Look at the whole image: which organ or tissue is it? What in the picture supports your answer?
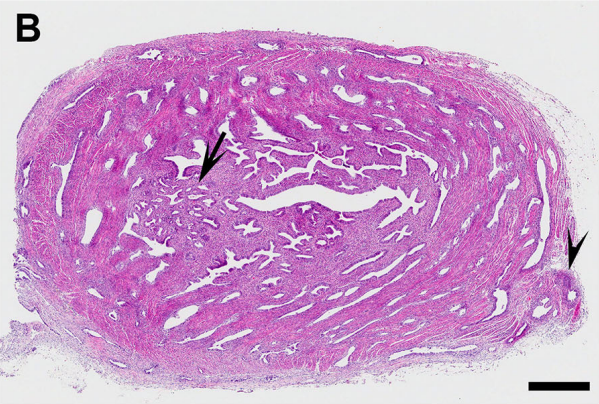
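An oval organ cross-section with a thick wall of pink muscle bundles. Many irregular glandular lumina scattered through the wall and centre.
Conclusion: uterus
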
